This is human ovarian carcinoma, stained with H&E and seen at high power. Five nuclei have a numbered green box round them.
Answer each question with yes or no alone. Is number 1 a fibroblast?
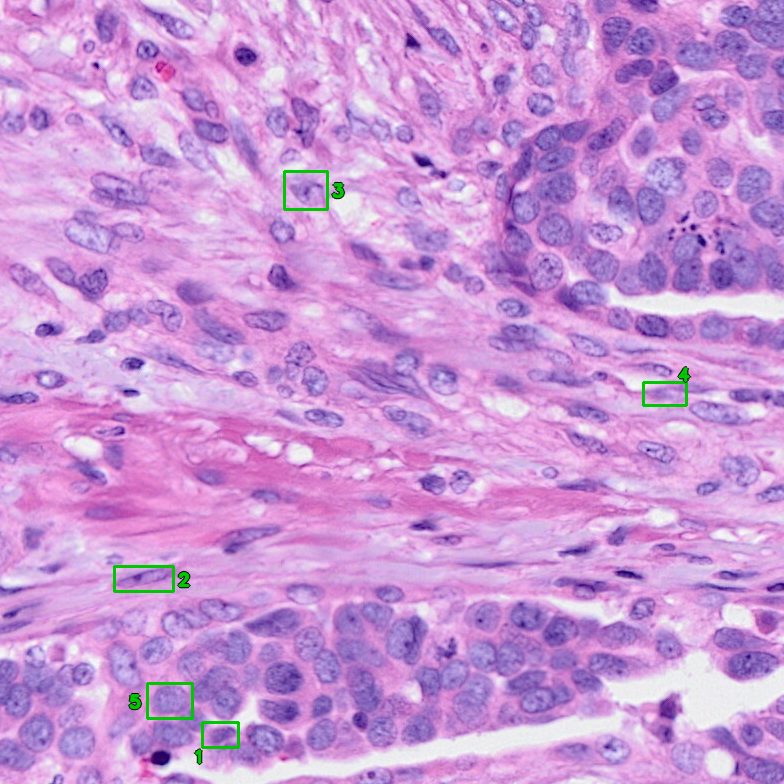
no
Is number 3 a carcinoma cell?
no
